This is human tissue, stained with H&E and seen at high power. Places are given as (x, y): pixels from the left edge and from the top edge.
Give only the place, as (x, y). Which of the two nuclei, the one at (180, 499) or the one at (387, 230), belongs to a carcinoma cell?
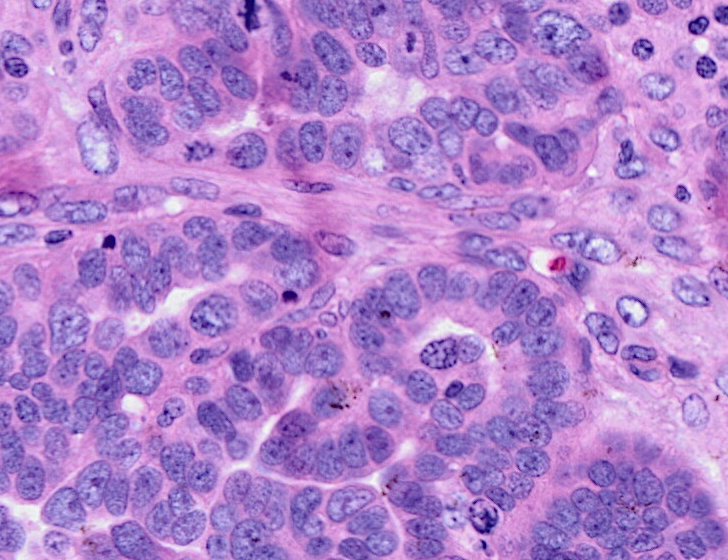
(180, 499)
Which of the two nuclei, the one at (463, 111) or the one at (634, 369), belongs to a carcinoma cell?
(463, 111)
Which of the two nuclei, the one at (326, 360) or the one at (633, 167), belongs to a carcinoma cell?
(326, 360)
